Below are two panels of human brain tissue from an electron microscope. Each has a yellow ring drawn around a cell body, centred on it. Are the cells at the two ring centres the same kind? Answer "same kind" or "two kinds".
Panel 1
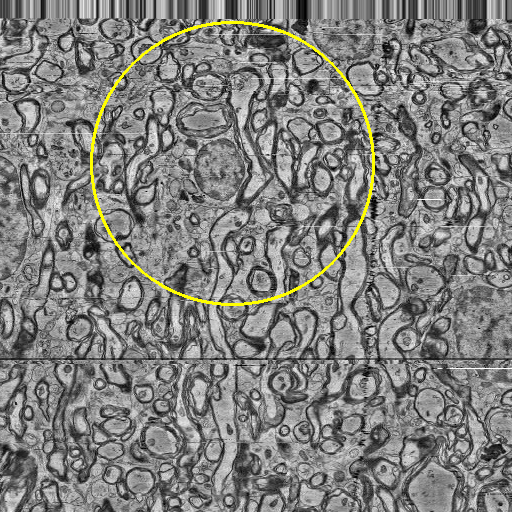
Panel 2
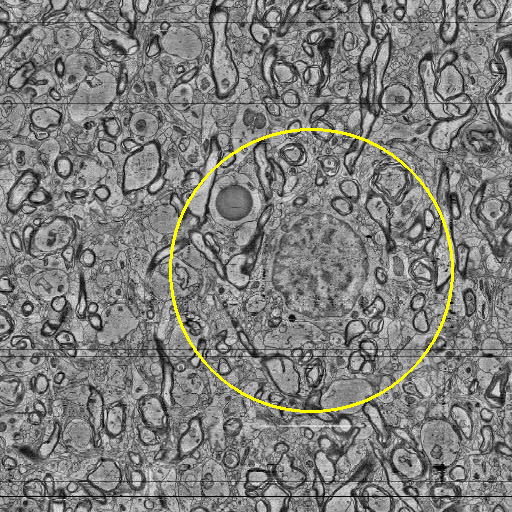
two kinds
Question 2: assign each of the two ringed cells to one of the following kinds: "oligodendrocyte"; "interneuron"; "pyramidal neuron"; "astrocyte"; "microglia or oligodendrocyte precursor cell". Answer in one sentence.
The two cells are a microglial cell or oligodendrocyte precursor cell in the first picture and an oligodendrocyte in the second.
